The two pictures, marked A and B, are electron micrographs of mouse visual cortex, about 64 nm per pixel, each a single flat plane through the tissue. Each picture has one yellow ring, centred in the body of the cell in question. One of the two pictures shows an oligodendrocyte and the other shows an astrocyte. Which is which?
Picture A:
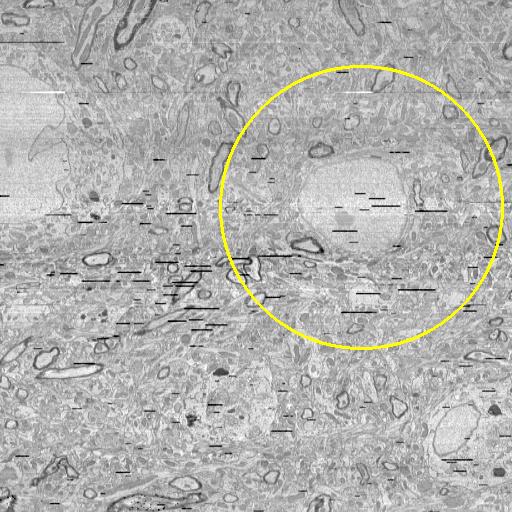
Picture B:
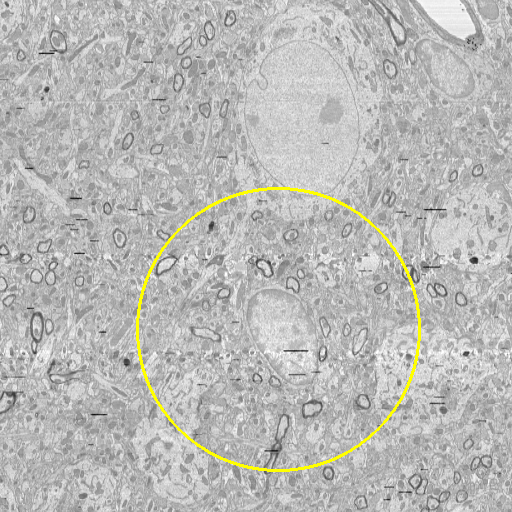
Picture B shows an oligodendrocyte, while picture A shows an astrocyte.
